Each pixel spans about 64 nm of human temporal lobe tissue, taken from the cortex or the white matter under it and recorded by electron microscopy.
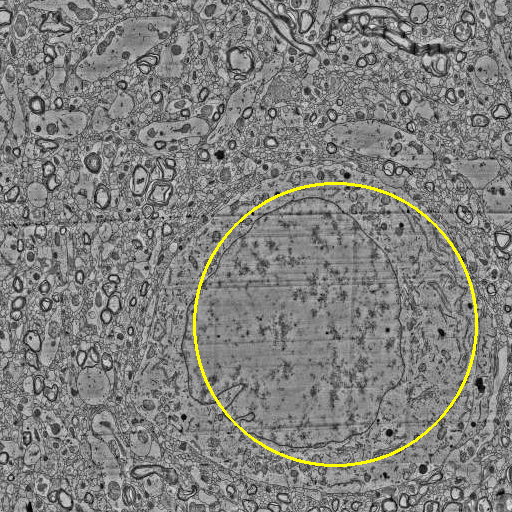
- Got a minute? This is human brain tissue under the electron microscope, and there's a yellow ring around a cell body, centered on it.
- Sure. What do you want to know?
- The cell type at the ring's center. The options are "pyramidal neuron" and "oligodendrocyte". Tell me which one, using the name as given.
pyramidal neuron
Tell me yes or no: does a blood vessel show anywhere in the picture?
No, no vessel appears in the picture.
